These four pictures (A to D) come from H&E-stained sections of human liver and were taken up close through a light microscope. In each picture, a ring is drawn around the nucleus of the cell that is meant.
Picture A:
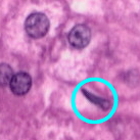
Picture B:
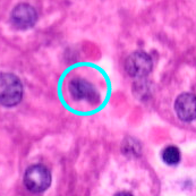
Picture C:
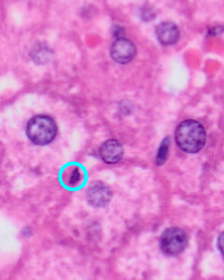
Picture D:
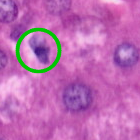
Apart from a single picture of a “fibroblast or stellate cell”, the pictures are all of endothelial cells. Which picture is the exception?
C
